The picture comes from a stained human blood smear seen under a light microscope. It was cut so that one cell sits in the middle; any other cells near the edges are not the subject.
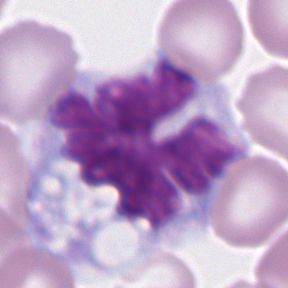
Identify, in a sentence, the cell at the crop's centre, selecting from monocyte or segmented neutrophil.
The cell featured at the centre of this crop is a monocyte.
